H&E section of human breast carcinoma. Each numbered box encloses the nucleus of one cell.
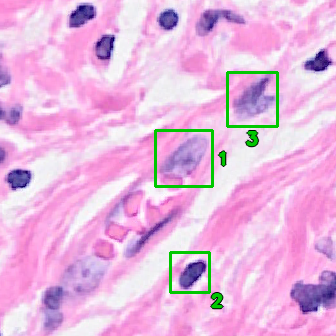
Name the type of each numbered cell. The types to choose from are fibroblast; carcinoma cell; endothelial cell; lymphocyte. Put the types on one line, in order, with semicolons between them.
endothelial cell; lymphocyte; fibroblast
